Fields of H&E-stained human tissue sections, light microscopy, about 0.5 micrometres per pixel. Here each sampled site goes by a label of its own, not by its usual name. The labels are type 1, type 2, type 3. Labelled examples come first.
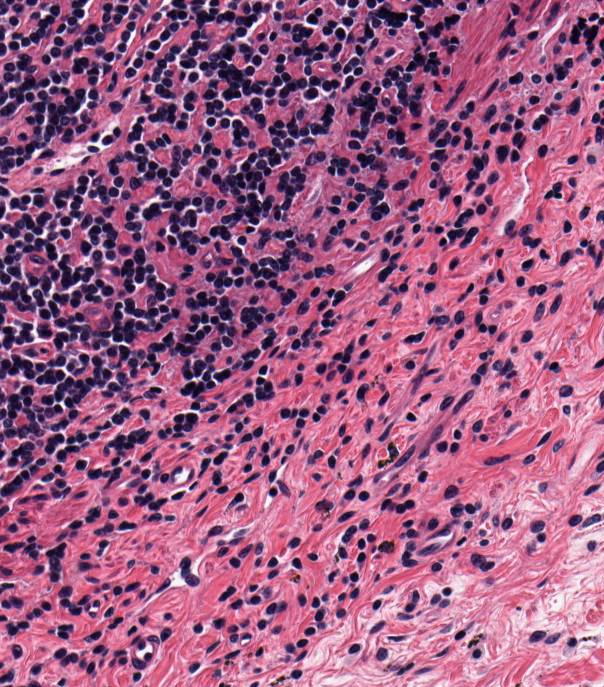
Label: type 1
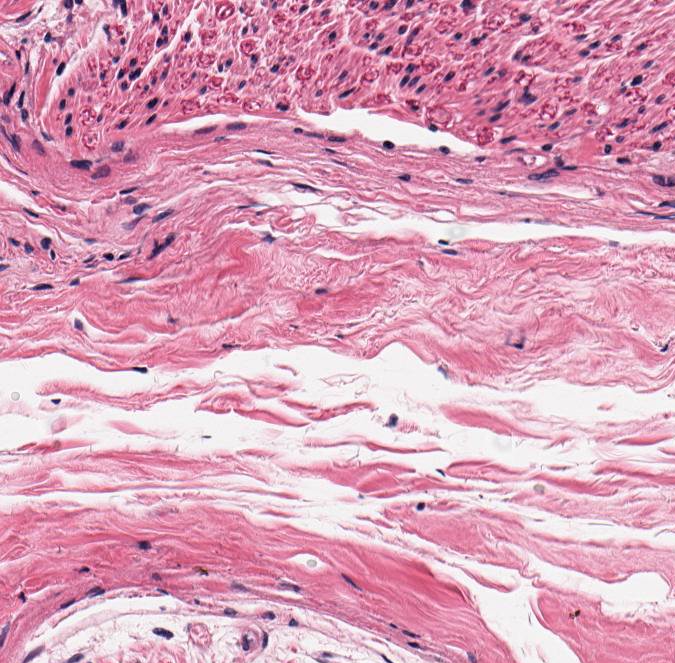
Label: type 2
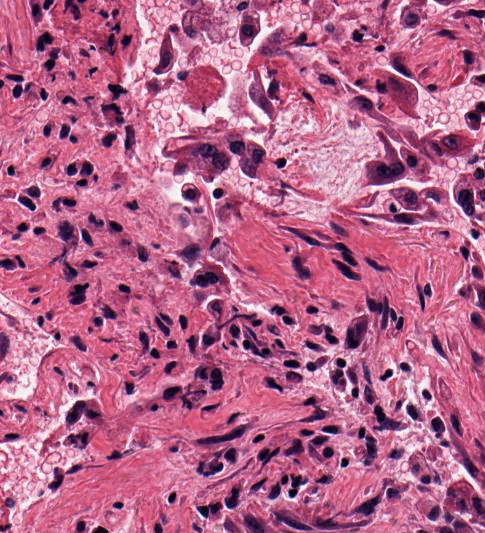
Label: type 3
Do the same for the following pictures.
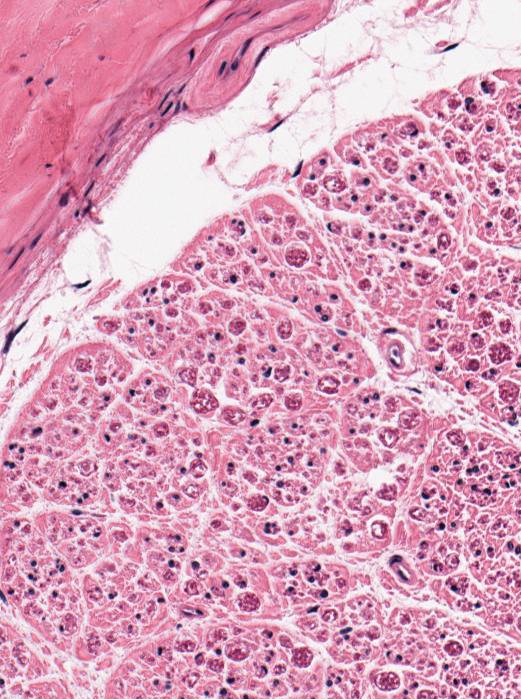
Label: type 2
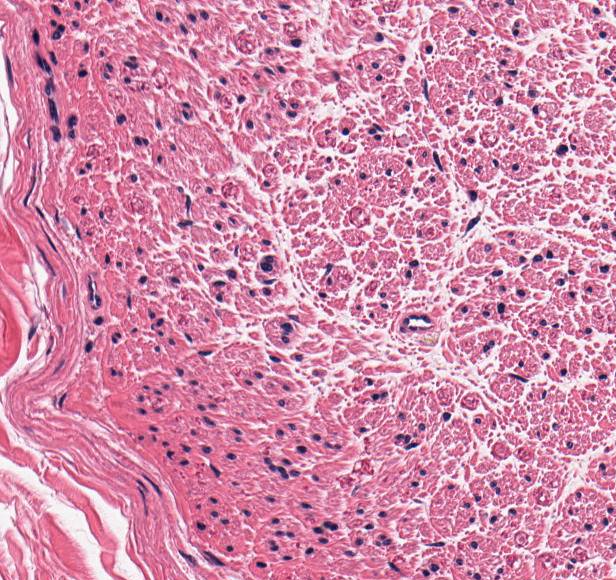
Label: type 2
